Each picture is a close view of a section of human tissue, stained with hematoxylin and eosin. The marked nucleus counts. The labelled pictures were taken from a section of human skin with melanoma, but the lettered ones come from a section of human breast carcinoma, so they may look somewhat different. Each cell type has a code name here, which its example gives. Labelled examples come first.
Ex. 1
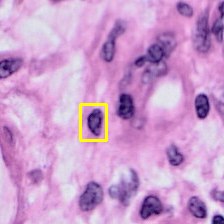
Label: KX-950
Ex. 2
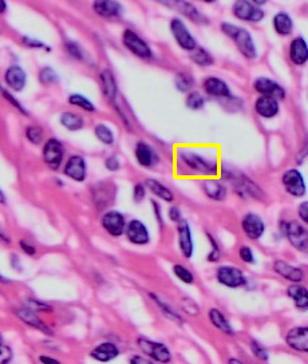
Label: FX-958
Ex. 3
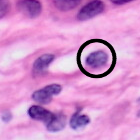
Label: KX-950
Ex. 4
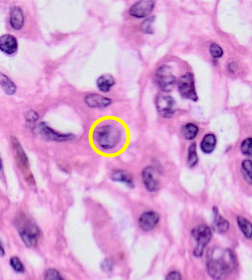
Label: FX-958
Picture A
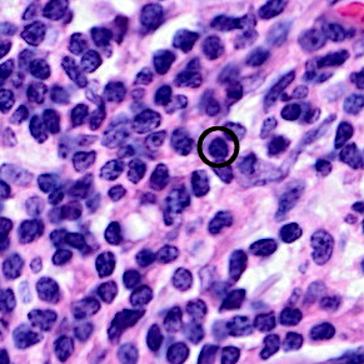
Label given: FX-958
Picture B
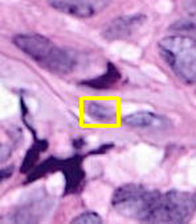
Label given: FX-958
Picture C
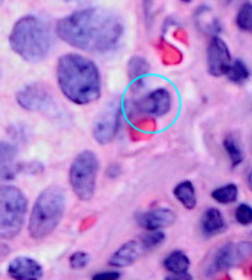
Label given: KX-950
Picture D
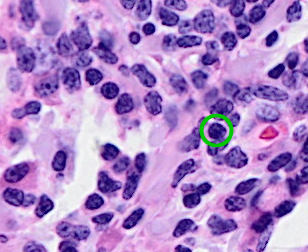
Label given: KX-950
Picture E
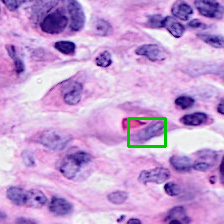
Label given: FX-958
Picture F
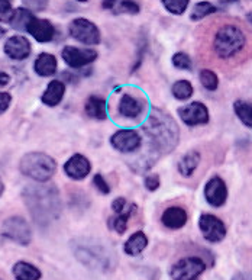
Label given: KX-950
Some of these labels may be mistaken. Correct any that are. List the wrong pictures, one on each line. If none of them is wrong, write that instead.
Wrong: A (FX-958); correct: KX-950
Wrong: C (KX-950); correct: FX-958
